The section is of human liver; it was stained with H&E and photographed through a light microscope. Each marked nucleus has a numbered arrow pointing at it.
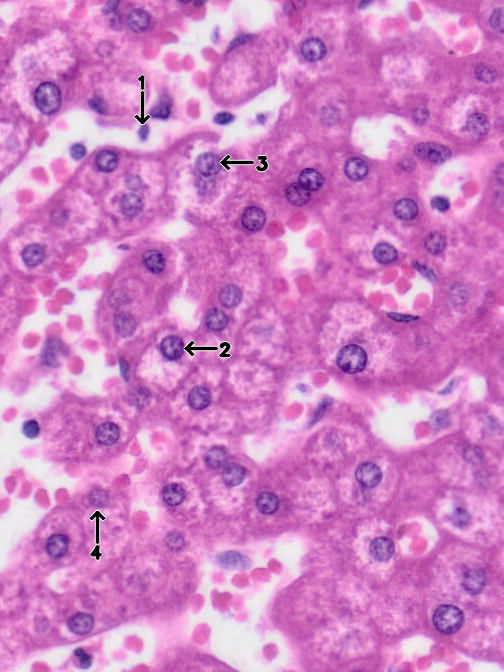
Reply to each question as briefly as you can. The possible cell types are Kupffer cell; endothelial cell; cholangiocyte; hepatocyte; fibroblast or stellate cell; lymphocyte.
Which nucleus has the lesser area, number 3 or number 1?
1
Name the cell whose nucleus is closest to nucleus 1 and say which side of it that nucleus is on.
a Kupffer cell, above and to the right of nucleus 1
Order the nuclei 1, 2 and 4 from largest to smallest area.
2, 4, 1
